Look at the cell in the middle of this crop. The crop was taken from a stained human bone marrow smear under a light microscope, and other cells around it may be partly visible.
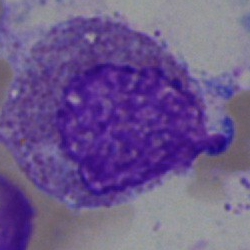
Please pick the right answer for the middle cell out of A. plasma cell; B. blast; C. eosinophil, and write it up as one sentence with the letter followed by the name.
The central cell in this crop is an eosinophil, so the correct choice is option C.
